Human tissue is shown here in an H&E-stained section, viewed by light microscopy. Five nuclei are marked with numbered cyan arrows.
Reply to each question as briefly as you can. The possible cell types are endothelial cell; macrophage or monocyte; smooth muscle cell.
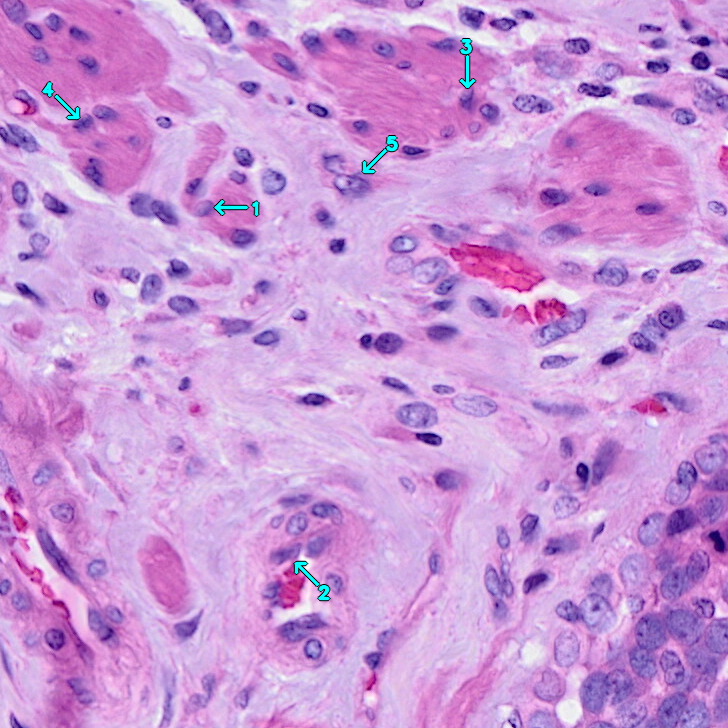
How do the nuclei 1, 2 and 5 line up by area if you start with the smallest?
1, 2, 5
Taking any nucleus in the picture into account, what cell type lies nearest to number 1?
smooth muscle cell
